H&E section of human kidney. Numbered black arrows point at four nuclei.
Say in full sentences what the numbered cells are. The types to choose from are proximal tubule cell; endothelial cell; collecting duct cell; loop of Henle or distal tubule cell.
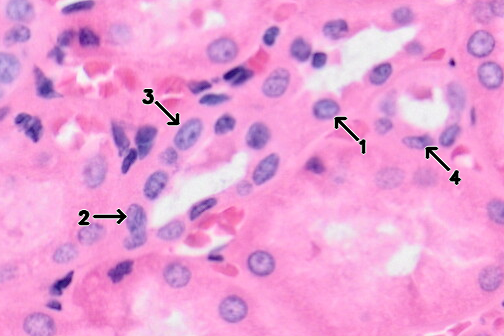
Cell 1 is a loop of Henle or distal tubule cell. Cells 2, 3 and 4 are collecting duct cells.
